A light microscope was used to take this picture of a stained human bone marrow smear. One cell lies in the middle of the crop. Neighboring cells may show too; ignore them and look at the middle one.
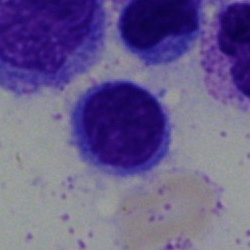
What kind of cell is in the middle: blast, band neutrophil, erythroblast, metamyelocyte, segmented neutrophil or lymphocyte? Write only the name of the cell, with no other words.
lymphocyte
